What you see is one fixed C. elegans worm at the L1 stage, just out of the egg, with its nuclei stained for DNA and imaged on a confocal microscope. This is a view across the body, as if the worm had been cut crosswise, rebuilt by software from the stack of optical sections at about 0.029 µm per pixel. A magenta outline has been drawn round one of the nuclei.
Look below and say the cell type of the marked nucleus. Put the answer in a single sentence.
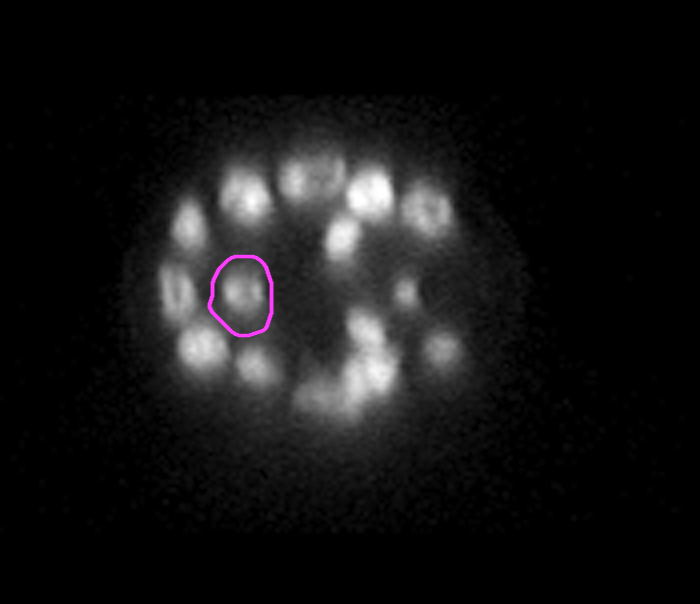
The nucleus comes from a pharyngeal epithelial cell.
